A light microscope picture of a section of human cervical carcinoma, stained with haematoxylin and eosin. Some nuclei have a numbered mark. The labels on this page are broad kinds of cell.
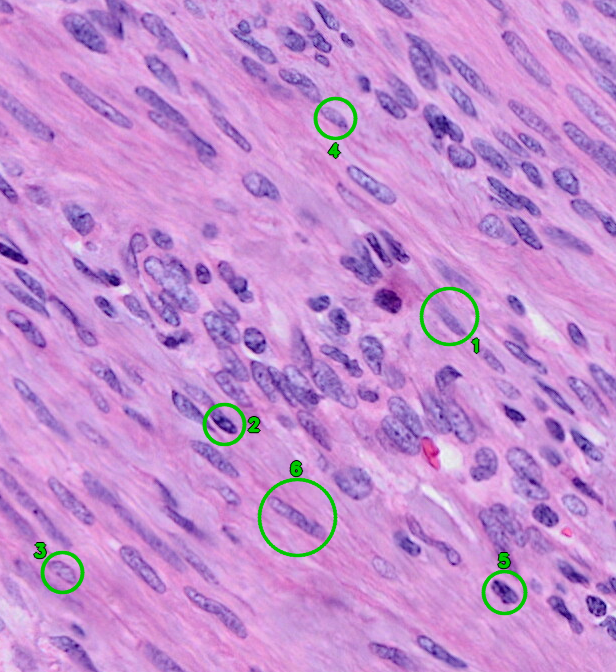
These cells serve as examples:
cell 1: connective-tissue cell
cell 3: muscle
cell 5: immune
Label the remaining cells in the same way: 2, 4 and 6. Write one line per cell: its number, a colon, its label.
2: immune
4: muscle
6: muscle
